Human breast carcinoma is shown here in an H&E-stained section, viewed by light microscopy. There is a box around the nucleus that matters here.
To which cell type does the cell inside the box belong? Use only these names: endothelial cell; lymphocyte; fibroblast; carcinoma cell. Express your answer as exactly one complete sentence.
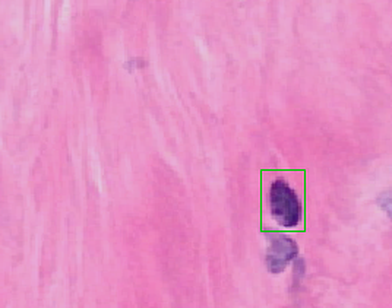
The category to which the cell inside the box belongs is that of a lymphocyte.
